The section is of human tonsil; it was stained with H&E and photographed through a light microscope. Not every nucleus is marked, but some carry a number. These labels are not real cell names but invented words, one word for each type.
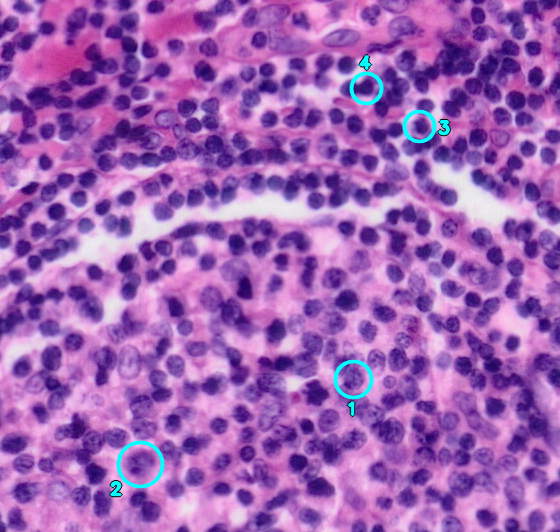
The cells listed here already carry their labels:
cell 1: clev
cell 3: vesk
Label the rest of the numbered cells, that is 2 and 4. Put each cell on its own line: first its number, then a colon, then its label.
2: clev
4: vesk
